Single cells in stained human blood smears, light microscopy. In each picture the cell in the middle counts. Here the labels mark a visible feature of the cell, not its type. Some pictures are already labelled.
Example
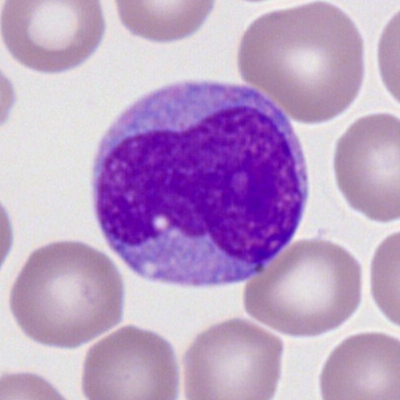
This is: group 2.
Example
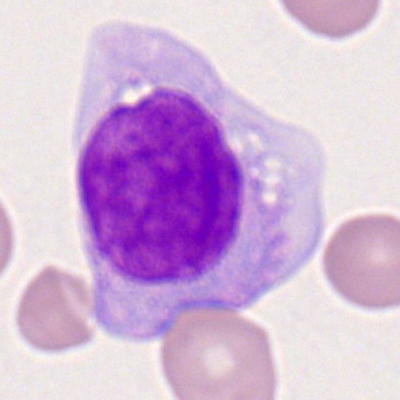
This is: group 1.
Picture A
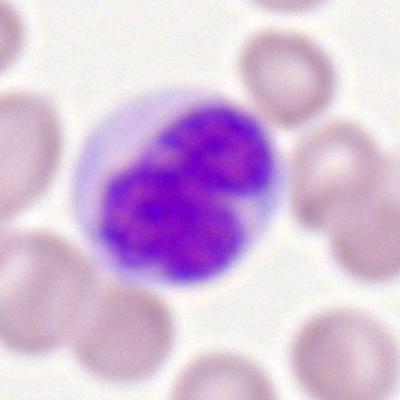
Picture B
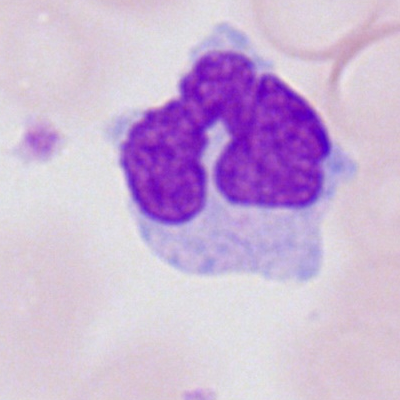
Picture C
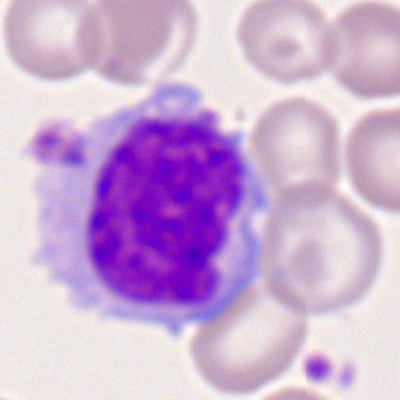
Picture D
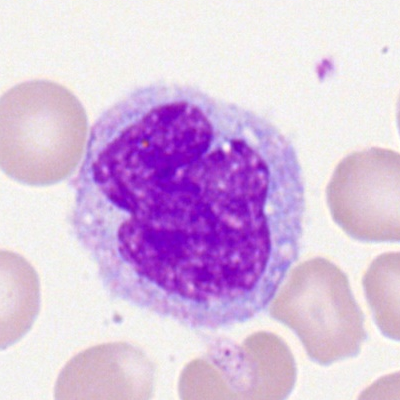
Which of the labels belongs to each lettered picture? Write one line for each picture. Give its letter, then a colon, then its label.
A: group 2.
B: group 2.
C: group 1.
D: group 2.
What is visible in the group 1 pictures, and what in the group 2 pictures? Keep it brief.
group 1, single compact nucleus; group 2, lobed nucleus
